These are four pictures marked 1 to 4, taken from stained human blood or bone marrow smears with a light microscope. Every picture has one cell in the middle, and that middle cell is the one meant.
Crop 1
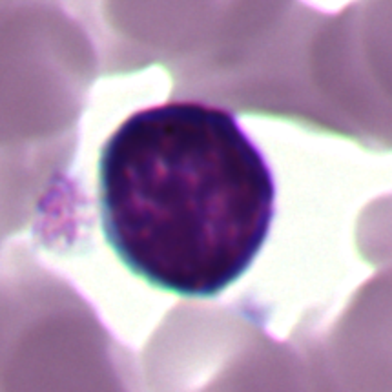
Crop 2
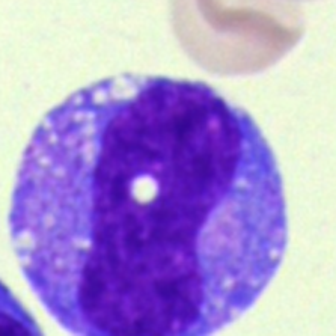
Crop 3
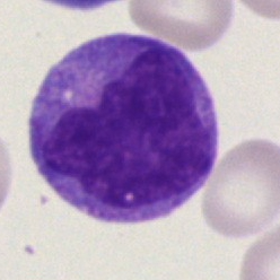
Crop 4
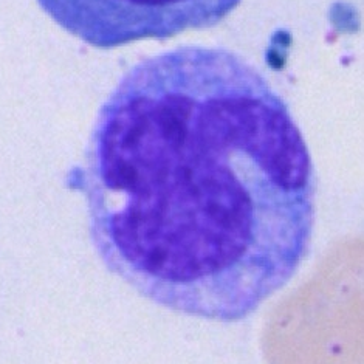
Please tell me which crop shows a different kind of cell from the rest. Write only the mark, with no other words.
1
